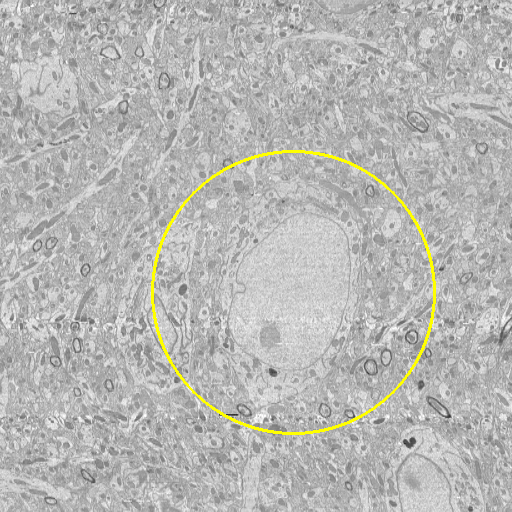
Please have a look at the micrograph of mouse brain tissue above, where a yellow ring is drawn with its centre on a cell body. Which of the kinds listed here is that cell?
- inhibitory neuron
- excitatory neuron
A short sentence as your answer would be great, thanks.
At the centre of the ring sits an excitatory neuron.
